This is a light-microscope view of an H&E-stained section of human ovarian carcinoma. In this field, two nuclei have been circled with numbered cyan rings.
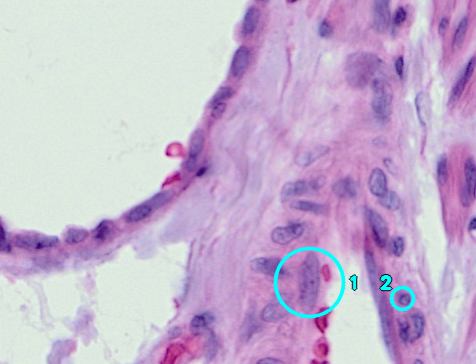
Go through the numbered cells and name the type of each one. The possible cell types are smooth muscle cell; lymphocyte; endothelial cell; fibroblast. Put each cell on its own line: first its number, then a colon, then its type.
1: endothelial cell
2: smooth muscle cell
